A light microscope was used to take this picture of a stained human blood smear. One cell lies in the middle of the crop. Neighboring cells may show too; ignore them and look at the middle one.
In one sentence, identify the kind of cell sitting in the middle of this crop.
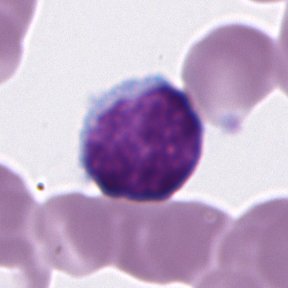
The cell of interest, located centrally, is a typical lymphocyte.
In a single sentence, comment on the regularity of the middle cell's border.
Along the periphery, ragged stretches or projections make the outline irregular.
